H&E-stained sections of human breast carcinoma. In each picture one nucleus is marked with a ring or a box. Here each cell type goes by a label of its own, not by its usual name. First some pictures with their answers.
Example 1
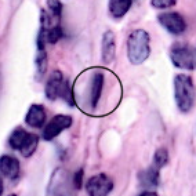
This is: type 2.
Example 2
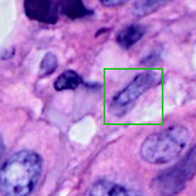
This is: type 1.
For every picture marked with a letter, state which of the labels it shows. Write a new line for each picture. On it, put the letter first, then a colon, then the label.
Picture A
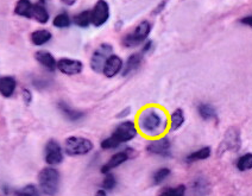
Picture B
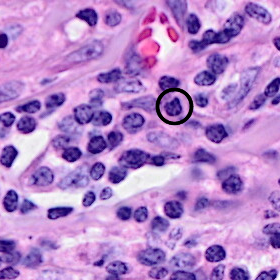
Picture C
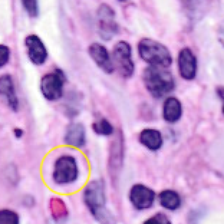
A: type 2.
B: type 2.
C: type 2.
